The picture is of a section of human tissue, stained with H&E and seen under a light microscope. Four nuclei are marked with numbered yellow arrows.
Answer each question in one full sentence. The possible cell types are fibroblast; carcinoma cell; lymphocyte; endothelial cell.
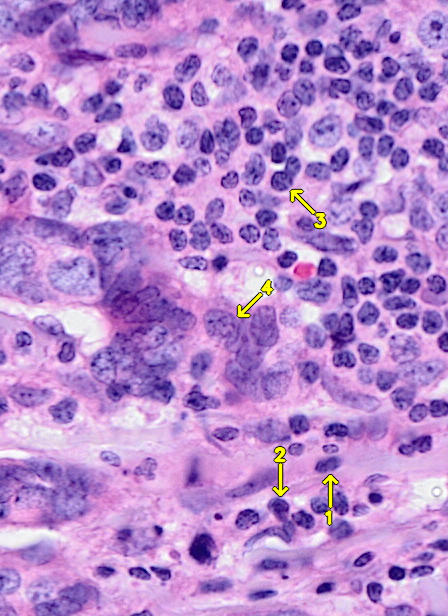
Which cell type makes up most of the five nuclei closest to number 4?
Most of the five nuclei nearest to number 4 are those of carcinoma cells.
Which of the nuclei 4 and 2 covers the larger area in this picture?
At about 2.5 times the area of nucleus 2, nucleus 4 is the larger of the two.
